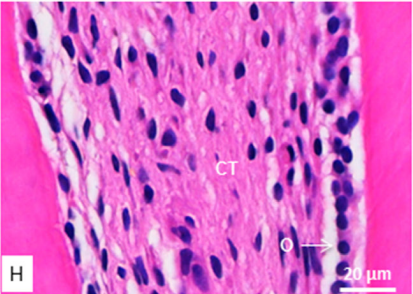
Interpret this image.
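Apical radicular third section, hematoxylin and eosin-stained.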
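Connective tissue lies within the root, flanked on both sides by bright pink, homogeneous hard tissue. Along the edge of this hard tissue runs a row of odontoblasts. Their dark purple, oval to elongated nuclei are crowded closely side by side, and a thin pale cleft separates them from the pink wall. The central connective tissue is pale pink and finely fibrillar. It holds scattered spindle-shaped cells whose slender dark nuclei are oriented mostly lengthwise along the root. The tissue looks orderly, with no dense clusters of round cells.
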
